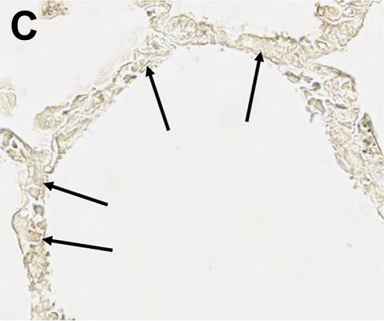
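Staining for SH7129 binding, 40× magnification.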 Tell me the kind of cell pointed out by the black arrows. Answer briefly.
Alveolar epithelial cells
